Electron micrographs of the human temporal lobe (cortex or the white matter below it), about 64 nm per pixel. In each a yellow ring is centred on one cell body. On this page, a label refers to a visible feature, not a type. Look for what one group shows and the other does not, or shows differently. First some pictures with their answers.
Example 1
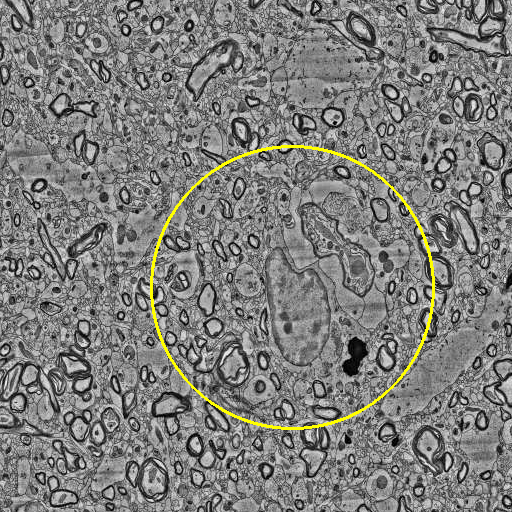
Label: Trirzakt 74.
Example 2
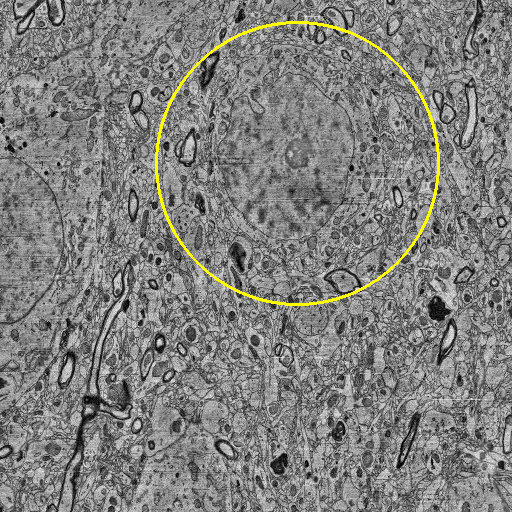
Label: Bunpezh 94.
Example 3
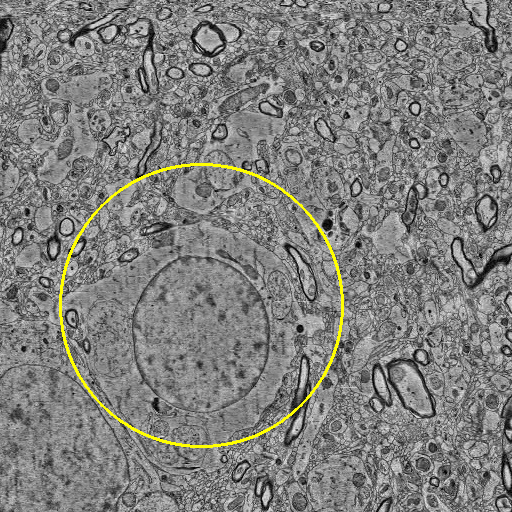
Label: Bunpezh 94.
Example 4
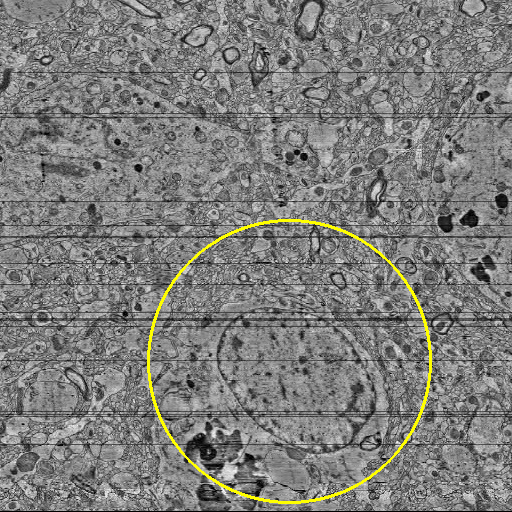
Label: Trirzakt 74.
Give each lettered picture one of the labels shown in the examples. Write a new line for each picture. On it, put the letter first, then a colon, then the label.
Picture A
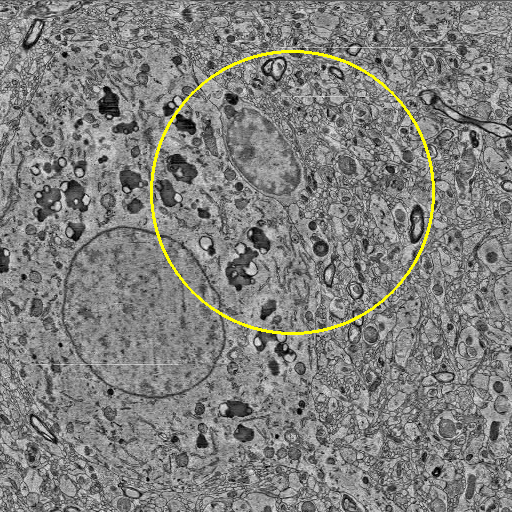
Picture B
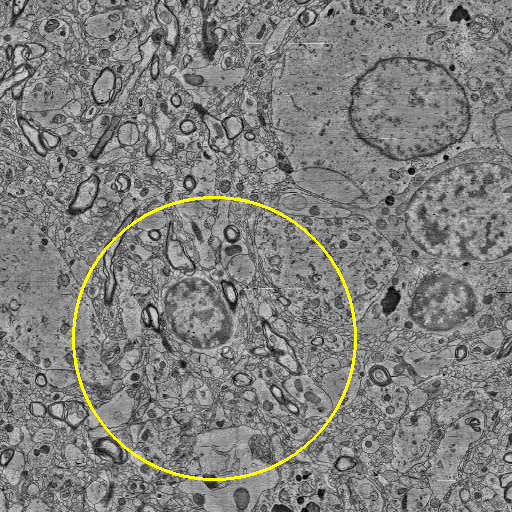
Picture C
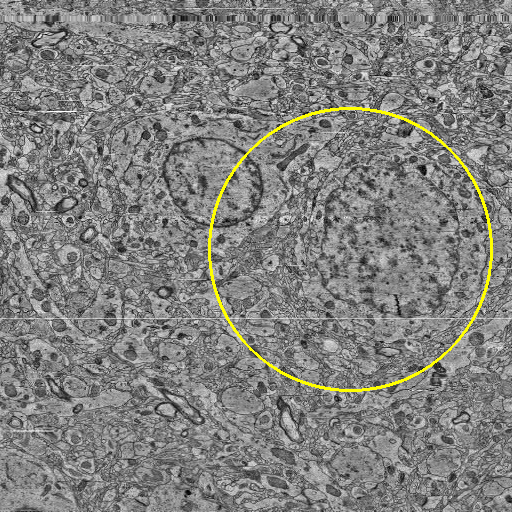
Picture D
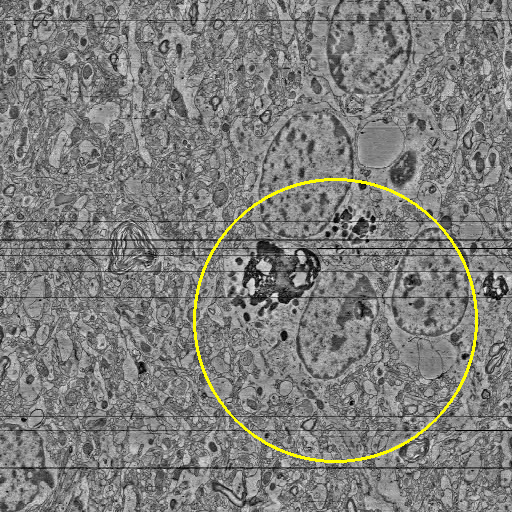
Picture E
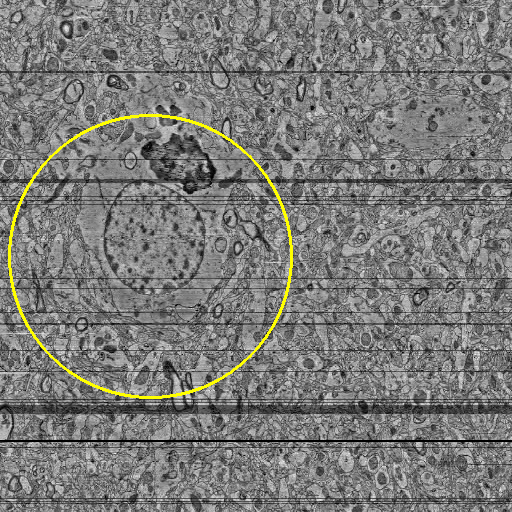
A: Trirzakt 74.
B: Bunpezh 94.
C: Bunpezh 94.
D: Trirzakt 74.
E: Bunpezh 94.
